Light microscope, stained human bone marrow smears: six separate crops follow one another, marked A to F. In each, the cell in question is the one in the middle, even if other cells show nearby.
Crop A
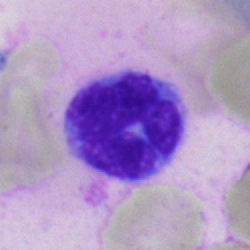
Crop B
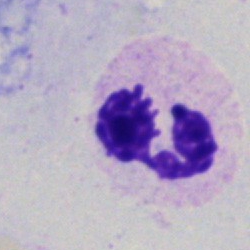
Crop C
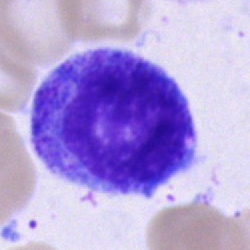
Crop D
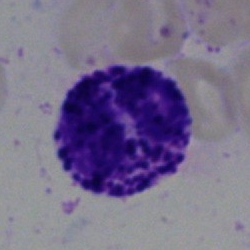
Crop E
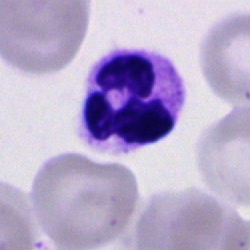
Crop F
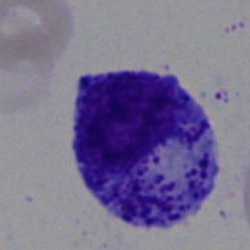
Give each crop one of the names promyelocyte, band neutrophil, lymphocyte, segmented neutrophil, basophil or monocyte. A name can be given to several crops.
A: monocyte
B: segmented neutrophil
C: promyelocyte
D: basophil
E: segmented neutrophil
F: promyelocyte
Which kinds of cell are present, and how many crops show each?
segmented neutrophil: 2
promyelocyte: 2
monocyte: 1
basophil: 1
